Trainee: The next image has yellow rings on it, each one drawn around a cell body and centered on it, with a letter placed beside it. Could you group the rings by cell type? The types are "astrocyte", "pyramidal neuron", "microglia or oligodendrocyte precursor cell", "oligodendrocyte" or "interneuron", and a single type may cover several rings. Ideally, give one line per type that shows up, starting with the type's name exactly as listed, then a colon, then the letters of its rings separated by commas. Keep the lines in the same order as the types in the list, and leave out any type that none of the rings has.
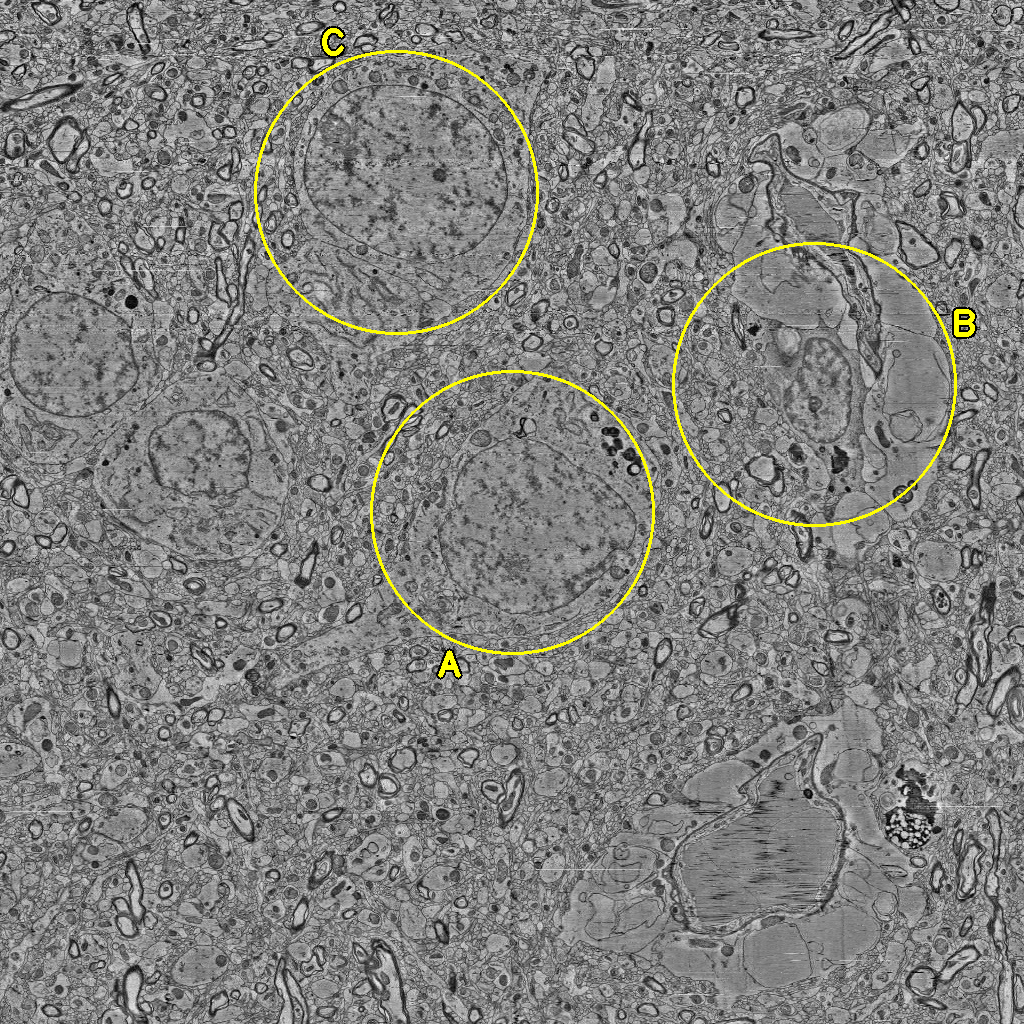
pyramidal neuron: A, C
oligodendrocyte: B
